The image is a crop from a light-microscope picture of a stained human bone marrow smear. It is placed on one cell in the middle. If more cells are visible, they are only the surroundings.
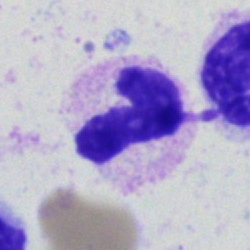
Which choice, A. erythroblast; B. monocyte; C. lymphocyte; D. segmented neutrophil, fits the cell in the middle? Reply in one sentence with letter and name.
Since the middle cell is a segmented neutrophil, option D is the right one.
